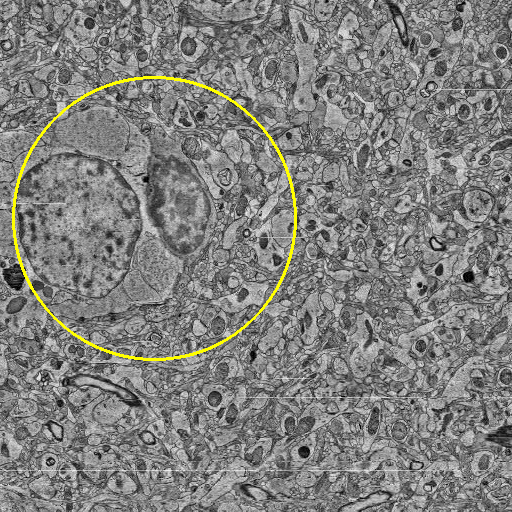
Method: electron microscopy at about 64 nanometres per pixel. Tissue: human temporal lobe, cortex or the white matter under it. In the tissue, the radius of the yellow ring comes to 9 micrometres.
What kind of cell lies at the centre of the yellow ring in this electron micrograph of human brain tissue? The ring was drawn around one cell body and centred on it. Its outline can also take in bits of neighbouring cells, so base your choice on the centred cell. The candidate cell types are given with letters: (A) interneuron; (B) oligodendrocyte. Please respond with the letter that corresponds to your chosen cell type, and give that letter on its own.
B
